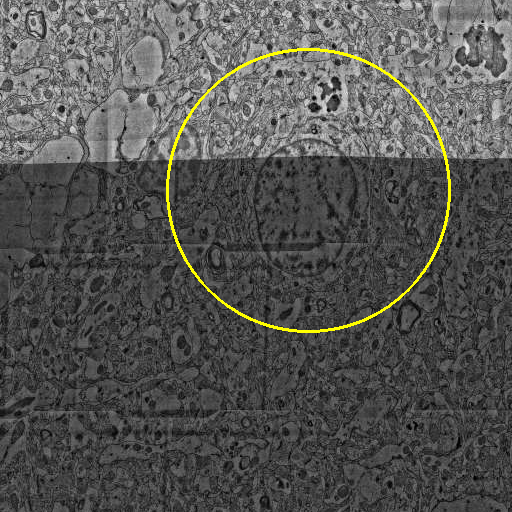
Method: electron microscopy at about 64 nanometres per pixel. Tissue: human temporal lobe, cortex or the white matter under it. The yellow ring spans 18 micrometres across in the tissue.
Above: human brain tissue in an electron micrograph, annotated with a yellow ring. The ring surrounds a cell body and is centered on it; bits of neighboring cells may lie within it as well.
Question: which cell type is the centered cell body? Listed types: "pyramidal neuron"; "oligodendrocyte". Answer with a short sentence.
The centered cell body is a pyramidal neuron.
